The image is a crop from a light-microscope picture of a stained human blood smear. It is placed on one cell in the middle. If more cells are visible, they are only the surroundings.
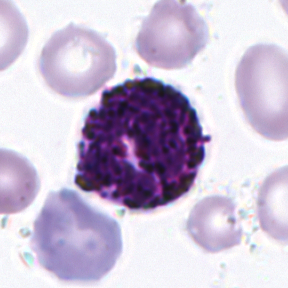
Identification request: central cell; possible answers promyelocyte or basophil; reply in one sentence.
Here the centrally located cell is a basophil.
